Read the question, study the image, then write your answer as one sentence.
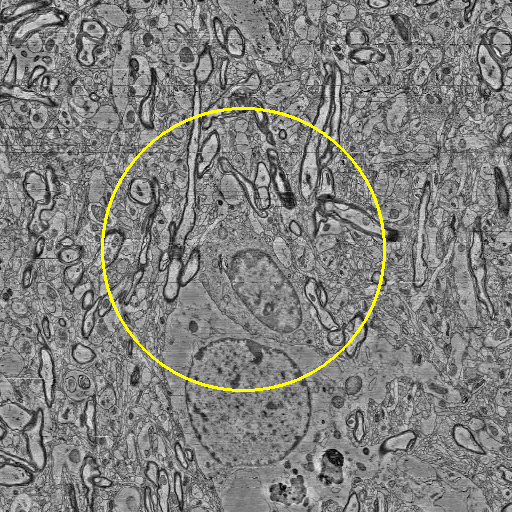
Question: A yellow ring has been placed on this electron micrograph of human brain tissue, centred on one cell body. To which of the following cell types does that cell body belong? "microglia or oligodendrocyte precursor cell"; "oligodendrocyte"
That cell body belongs to an oligodendrocyte.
